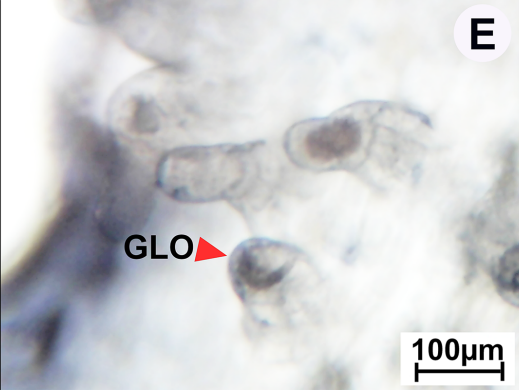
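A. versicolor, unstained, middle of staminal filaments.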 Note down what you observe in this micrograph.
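Short glandular trichomes stand out from the surface, each with a short stalk of few cells topped by an apical gland cell. The head cells are rounded to globose and contain dense, darker contents within a pale wall.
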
